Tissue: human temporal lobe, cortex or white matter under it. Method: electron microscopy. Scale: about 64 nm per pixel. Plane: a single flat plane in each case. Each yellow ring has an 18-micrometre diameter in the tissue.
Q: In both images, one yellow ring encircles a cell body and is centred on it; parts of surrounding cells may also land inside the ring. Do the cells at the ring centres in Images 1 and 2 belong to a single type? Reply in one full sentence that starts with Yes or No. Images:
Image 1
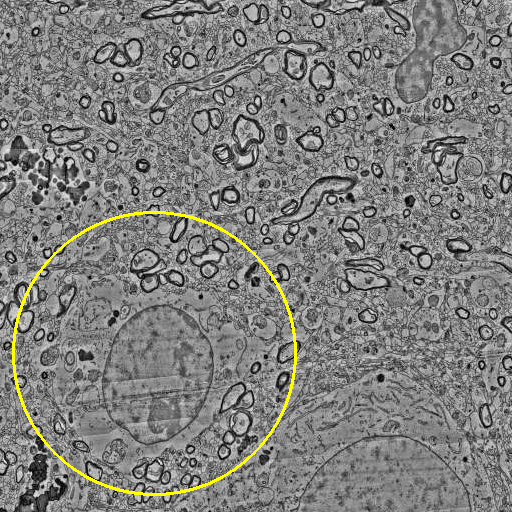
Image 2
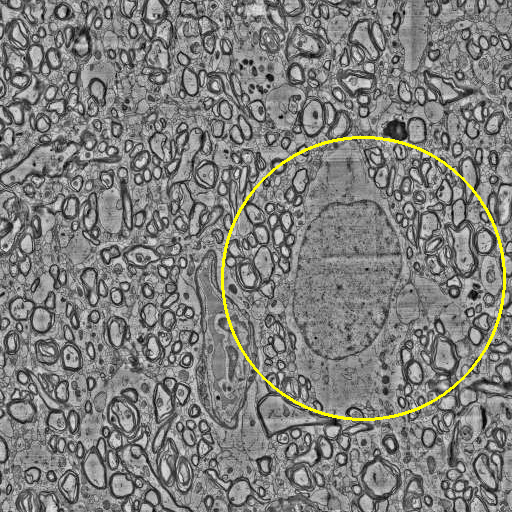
Yes, the cells at the ring centres in Images 1 and 2 are of a single type.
